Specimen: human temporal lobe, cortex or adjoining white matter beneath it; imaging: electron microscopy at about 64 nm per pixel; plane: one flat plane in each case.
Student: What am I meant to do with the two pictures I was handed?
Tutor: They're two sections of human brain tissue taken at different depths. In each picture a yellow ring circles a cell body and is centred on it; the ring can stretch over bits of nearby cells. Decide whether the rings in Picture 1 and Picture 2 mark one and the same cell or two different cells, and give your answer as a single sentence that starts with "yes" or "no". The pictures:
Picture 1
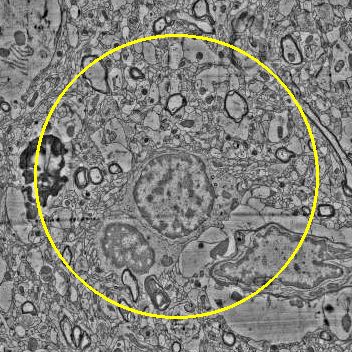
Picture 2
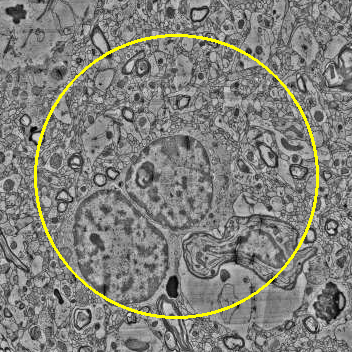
Yes, one and the same cell lies under both rings.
